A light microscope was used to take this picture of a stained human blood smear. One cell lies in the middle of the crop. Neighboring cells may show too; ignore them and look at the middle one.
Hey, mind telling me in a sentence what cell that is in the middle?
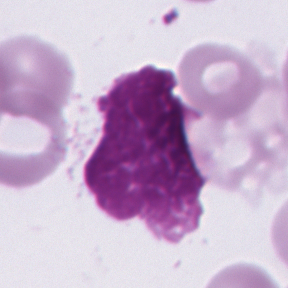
At the middle of the frame sits a smudge cell.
